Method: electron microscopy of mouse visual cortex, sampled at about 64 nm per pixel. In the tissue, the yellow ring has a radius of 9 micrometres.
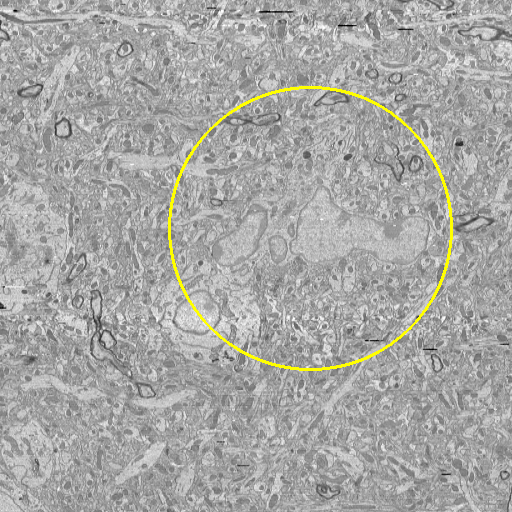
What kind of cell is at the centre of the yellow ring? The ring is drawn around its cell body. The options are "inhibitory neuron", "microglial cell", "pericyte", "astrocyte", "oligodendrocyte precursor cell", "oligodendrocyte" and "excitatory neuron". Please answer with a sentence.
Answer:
The yellow ring marks the cell body of an oligodendrocyte precursor cell.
